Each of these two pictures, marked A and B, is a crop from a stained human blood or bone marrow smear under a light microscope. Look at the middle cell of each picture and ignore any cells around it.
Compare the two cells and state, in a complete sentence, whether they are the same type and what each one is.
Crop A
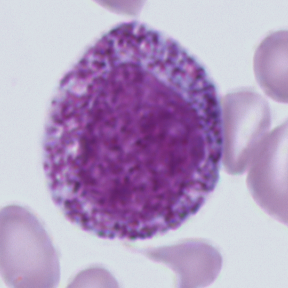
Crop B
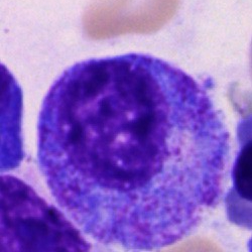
Yes, the middle cells in both crops are indeed promyelocytes.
